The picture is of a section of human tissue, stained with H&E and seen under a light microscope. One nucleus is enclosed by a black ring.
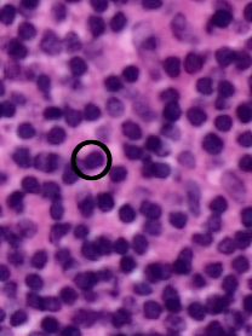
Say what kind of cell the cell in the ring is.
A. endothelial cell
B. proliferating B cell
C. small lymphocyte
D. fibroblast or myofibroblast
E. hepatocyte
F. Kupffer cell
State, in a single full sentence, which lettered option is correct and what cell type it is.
The correct identification, the cell in the ring as a small lymphocyte, is given by option C.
